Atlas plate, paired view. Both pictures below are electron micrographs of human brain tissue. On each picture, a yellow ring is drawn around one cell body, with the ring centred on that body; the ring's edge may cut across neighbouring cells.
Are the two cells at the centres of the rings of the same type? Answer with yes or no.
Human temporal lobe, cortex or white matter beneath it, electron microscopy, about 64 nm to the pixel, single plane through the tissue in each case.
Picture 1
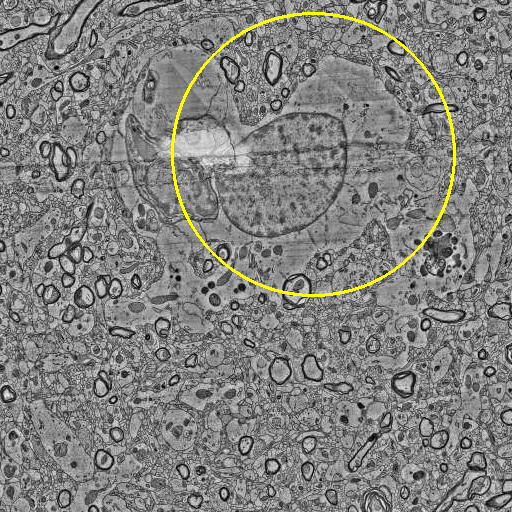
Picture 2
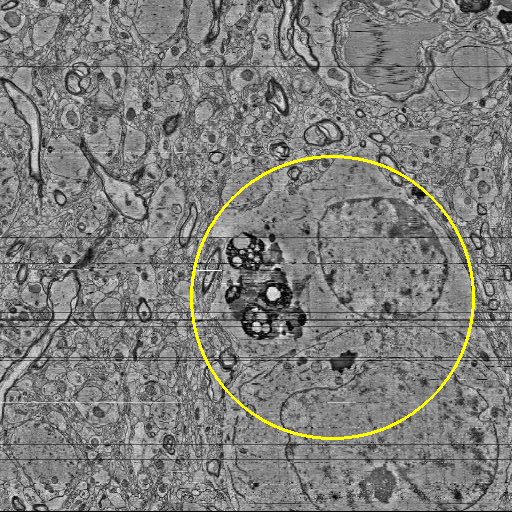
yes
